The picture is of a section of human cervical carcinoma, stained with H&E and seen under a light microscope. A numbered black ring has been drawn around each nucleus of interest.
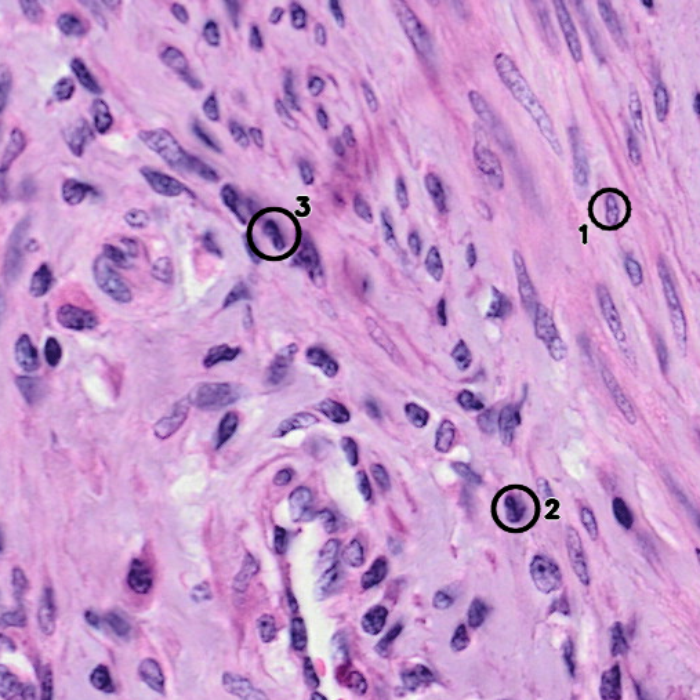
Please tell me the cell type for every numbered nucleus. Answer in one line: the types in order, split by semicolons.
smooth muscle cell; lymphocyte; lymphocyte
